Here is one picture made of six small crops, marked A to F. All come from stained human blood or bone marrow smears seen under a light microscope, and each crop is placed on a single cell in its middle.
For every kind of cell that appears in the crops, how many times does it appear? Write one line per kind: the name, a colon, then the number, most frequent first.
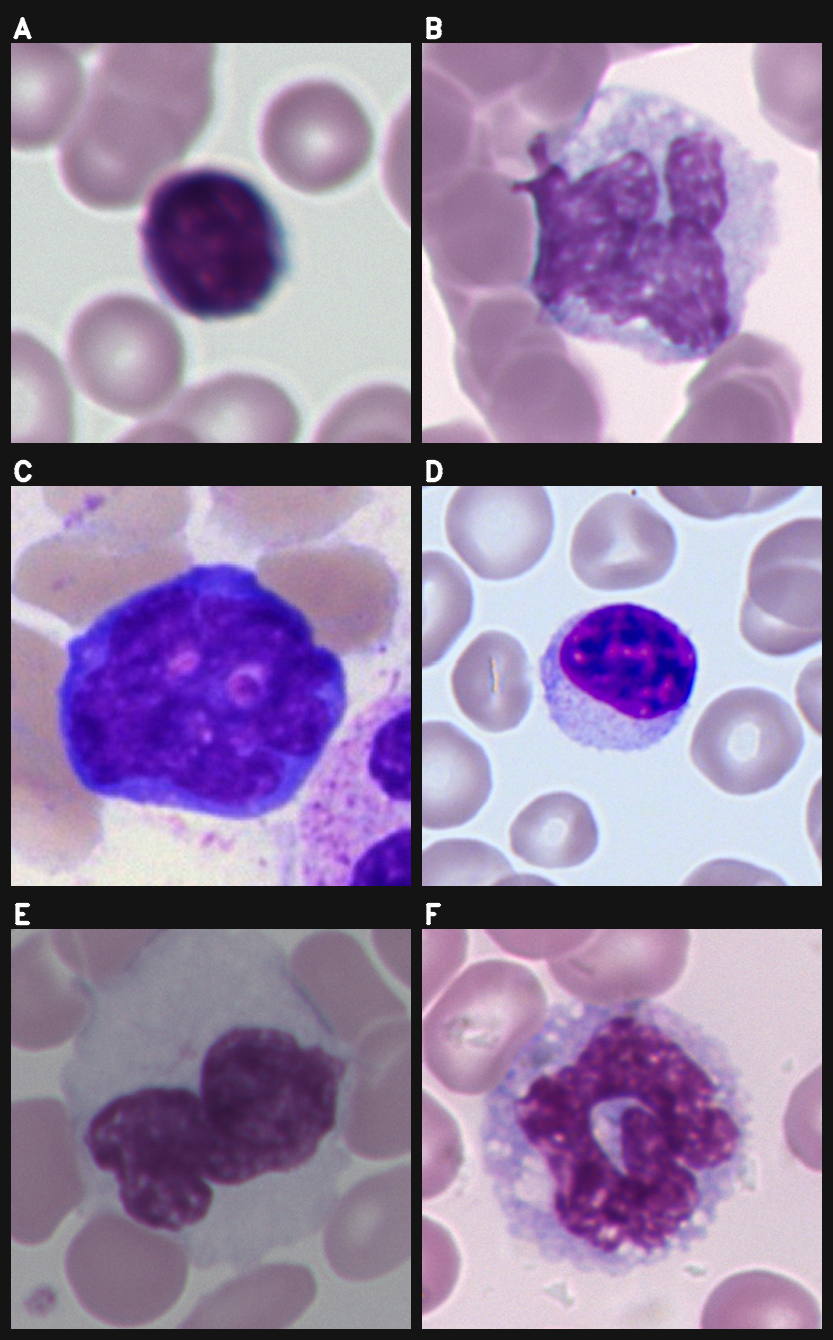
monocyte: 4
lymphocyte: 2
